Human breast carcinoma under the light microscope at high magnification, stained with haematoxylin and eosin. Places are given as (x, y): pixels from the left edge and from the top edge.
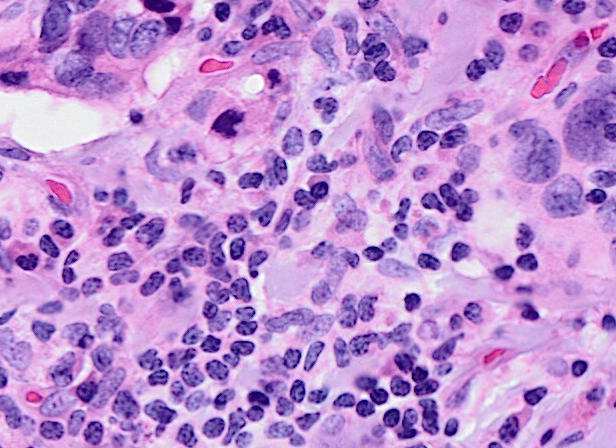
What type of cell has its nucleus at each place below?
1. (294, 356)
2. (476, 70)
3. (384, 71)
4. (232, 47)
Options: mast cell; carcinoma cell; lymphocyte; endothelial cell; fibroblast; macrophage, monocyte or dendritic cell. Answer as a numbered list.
1. lymphocyte
2. lymphocyte
3. lymphocyte
4. endothelial cell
